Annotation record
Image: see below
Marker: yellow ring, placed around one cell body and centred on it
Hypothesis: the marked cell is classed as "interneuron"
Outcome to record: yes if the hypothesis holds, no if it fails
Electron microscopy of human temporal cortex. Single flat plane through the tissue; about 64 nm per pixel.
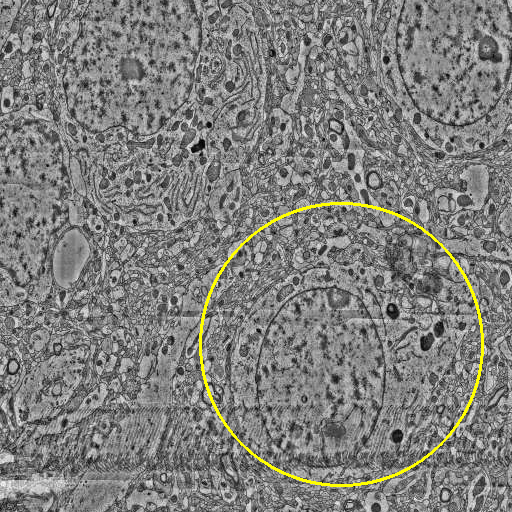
no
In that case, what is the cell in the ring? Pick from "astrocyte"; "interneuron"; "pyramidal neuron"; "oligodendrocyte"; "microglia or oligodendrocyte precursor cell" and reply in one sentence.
The answer is that the ringed cell is a pyramidal neuron.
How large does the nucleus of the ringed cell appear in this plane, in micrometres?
The nucleus comes to roughly 12 by 8 micrometres in this plane.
